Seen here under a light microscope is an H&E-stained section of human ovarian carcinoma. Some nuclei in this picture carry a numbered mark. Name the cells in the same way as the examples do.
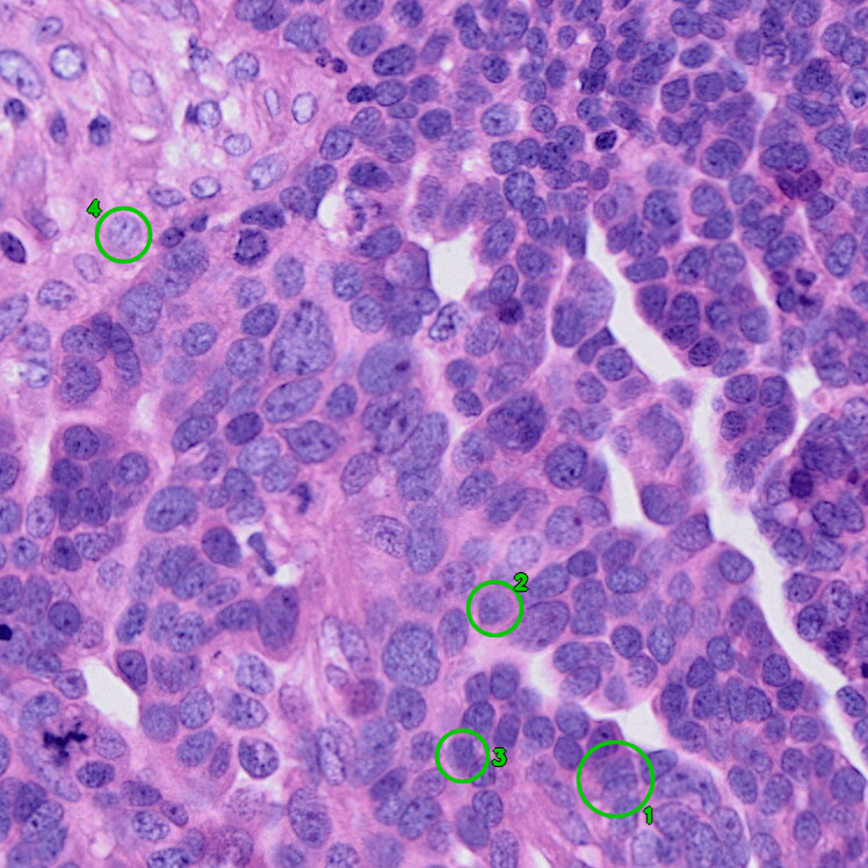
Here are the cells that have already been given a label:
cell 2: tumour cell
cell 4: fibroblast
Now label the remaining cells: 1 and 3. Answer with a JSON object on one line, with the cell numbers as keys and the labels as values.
{"1": "tumour cell", "3": "tumour cell"}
